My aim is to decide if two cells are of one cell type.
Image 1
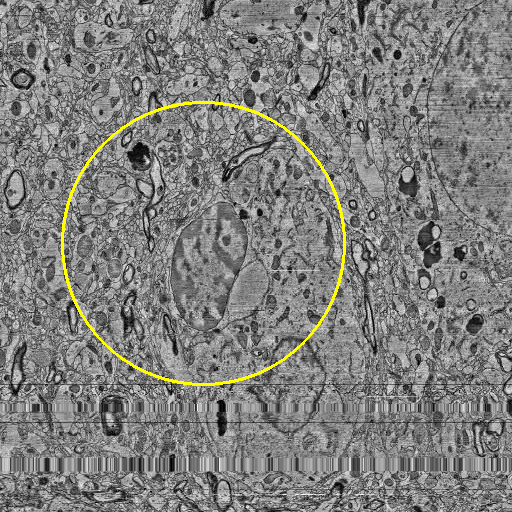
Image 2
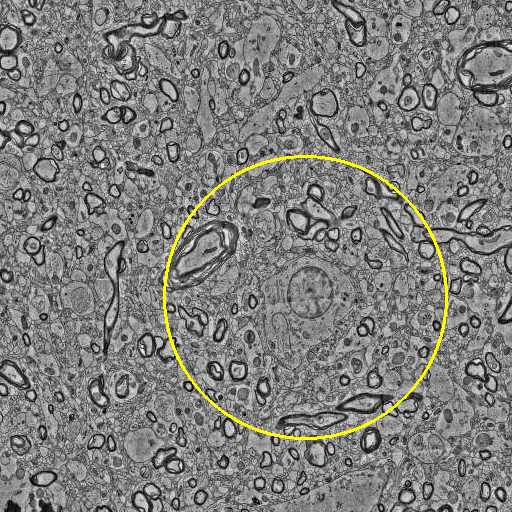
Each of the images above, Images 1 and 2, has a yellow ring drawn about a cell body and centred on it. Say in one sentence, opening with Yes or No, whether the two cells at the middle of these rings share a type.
Yes, in Images 1 and 2 the cells at the middle of the rings share one type.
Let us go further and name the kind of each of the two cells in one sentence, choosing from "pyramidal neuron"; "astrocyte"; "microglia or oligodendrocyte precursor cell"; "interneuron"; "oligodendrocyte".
In each picture the ringed cell is a microglial cell or oligodendrocyte precursor cell.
